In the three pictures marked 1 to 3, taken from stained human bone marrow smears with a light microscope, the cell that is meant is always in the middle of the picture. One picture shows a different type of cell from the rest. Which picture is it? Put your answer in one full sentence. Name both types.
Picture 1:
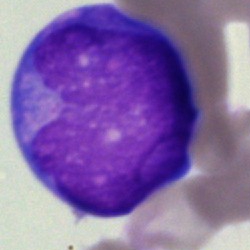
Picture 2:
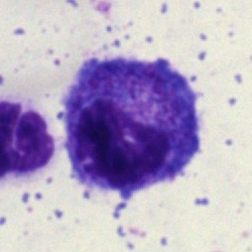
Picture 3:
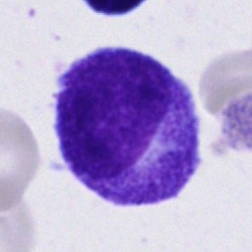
Unlike the rest, which show promyelocytes, picture 1 shows a blast.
